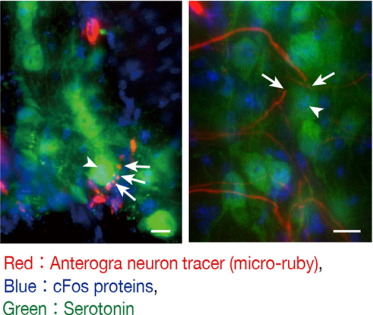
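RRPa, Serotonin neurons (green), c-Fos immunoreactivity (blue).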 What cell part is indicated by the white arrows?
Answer: nerve terminals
